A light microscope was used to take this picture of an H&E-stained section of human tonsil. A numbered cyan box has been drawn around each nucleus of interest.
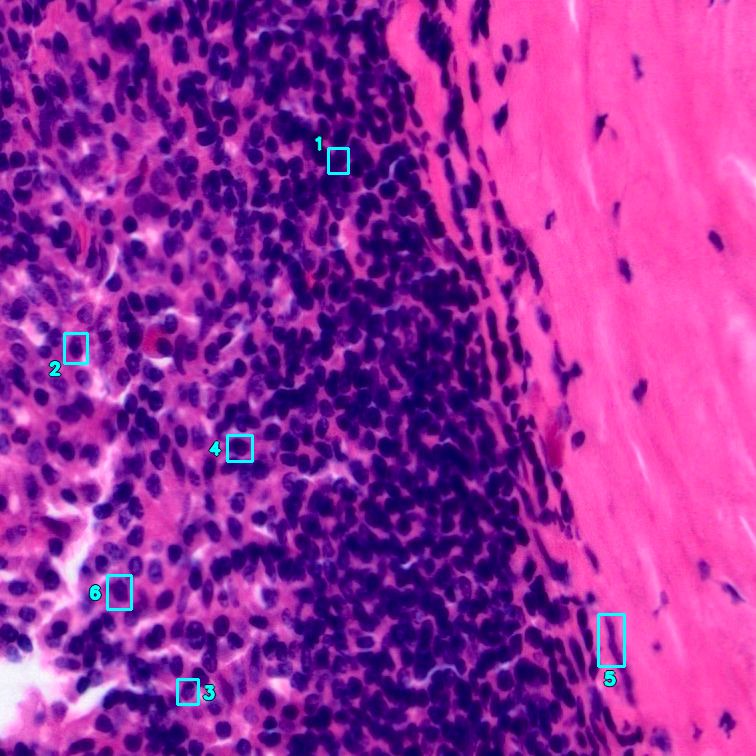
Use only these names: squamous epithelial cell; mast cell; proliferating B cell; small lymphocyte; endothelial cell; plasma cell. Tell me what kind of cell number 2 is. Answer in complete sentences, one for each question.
The cell pointed out by number 2 is a plasma cell.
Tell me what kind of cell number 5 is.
Belonging to an endothelial cell is the nucleus that carries the number 5.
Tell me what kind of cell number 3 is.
The cell identified by number 3 is a plasma cell.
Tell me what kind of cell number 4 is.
Cell 4, as marked in the section, is a plasma cell.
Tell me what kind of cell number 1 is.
In the marked set, the cell given number 1 is a small lymphocyte.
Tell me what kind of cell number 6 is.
Identified as a plasma cell is the cell bearing the number 6.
